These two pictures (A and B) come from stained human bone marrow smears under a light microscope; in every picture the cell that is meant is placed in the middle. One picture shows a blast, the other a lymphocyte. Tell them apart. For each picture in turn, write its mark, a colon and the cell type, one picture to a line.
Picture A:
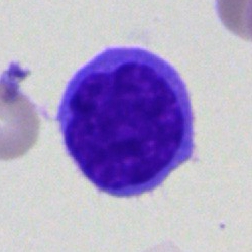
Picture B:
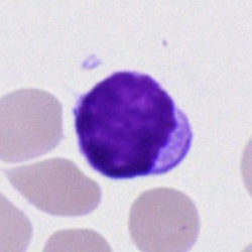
A: blast
B: lymphocyte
